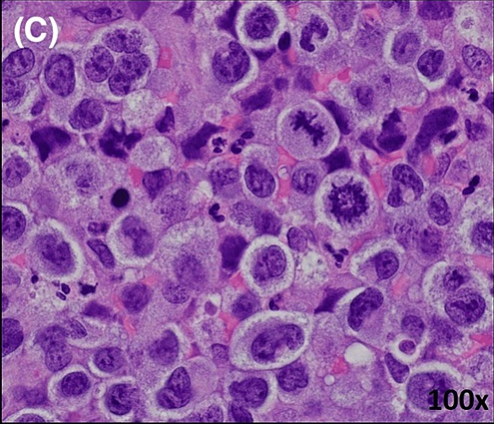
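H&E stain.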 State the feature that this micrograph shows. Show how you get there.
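Small round, densely dark purple fragments lie between the large cells. Some dense fragments sit within clear halos. So: apoptotic bodies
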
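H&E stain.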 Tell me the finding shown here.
extensive mitotic activity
